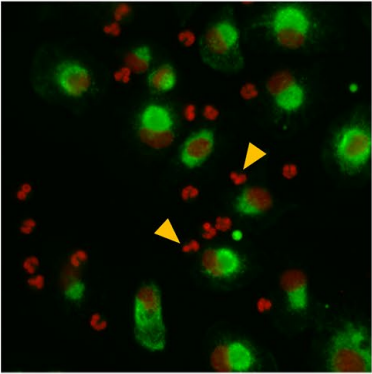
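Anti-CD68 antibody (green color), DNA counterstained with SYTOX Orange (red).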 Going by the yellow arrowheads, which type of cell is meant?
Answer: Multilobulated granulocytes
